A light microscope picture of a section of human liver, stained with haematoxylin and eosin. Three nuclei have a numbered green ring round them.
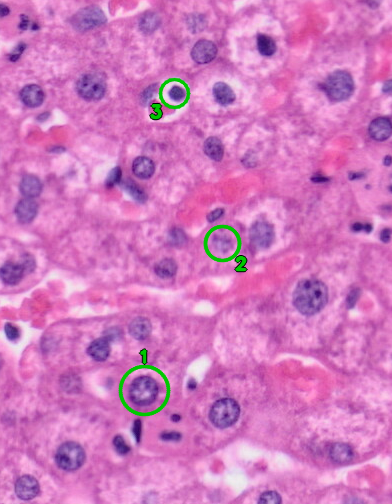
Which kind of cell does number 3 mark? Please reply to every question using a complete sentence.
The cell to which the number 3 is assigned is a lymphocyte.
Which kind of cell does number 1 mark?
The one labeled 1 is a hepatocyte, to put it simply.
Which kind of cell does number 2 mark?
Identified by the number 2, the cell is a hepatocyte.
